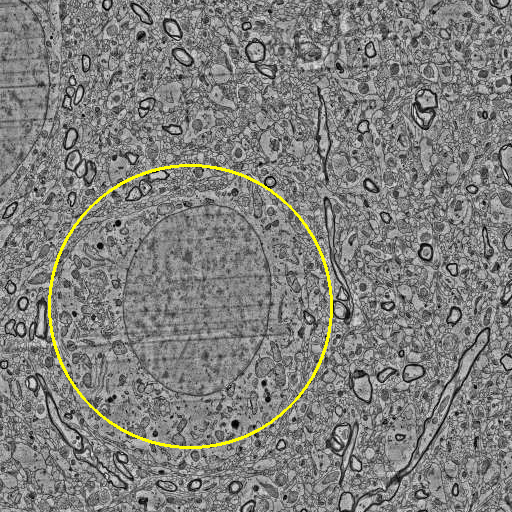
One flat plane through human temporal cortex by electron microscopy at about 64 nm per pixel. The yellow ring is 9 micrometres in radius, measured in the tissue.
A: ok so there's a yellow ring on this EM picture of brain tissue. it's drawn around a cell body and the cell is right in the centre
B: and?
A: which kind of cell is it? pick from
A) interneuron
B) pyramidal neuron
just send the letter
A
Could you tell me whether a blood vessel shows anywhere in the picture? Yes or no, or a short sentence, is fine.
No, a blood vessel is absent from this picture.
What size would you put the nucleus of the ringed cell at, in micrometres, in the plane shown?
The nucleus appears roughly 12 by 9 micrometres in this plane.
